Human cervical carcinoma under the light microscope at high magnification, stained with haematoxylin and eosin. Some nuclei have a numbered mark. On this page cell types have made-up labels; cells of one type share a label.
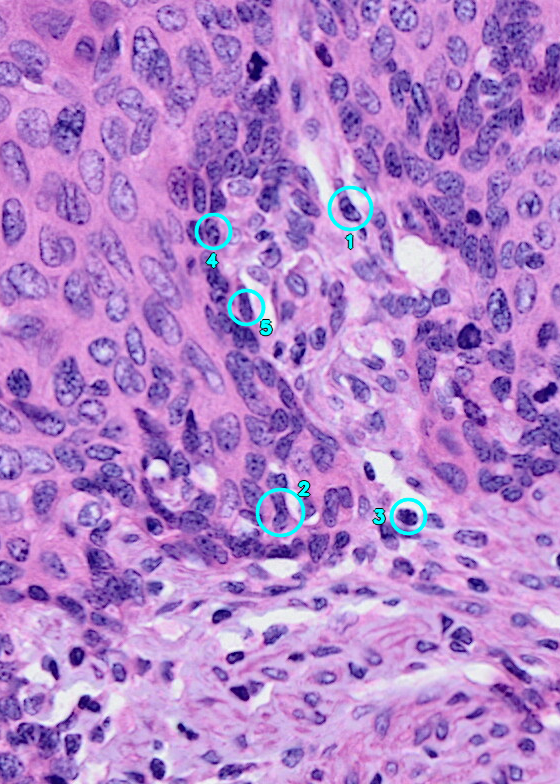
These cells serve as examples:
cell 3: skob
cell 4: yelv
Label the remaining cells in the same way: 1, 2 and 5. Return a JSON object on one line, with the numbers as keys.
{"1": "skob", "2": "yelv", "5": "yelv"}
